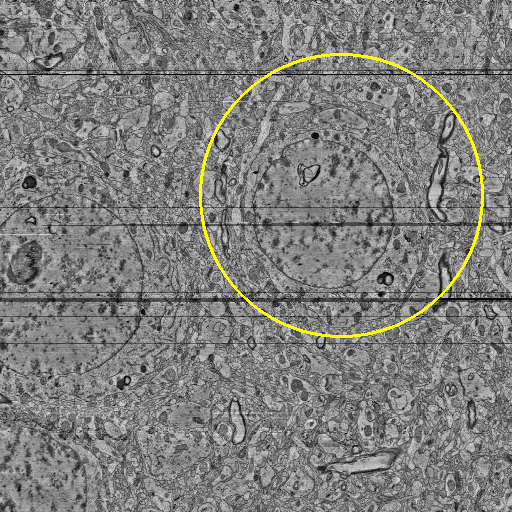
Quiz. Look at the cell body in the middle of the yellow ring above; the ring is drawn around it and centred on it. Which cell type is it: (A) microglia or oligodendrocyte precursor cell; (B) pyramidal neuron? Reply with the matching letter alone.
B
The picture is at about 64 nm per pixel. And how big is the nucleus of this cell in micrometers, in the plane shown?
About 10 micrometres across, as seen in this plane.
